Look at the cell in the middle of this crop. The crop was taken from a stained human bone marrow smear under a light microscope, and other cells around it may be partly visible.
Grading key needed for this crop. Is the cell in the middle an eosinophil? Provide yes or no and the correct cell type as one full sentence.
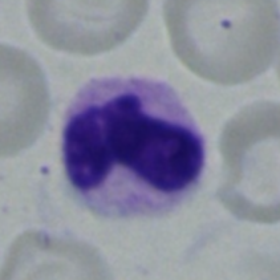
No, it is a band neutrophil and not an eosinophil that occupies the middle of the crop.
